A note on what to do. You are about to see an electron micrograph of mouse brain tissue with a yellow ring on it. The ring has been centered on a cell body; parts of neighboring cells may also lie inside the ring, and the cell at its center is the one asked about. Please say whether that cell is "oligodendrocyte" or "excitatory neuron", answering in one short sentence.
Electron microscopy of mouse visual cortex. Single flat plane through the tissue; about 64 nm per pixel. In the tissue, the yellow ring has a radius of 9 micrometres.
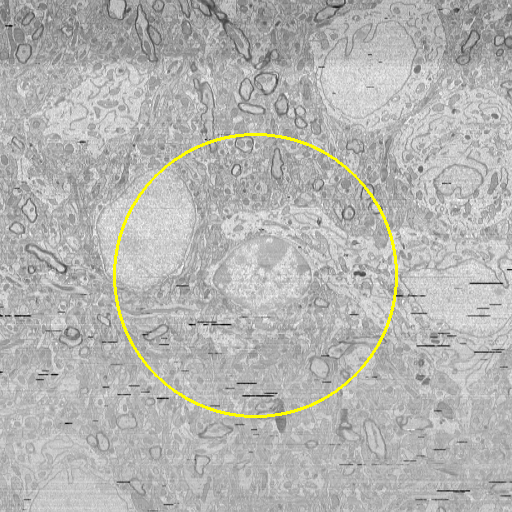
The yellow ring sits on an oligodendrocyte.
